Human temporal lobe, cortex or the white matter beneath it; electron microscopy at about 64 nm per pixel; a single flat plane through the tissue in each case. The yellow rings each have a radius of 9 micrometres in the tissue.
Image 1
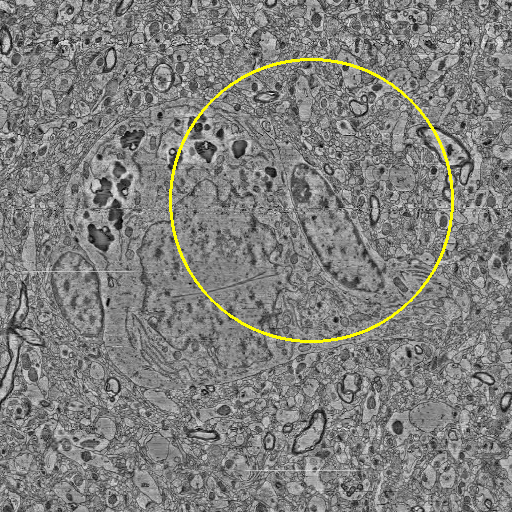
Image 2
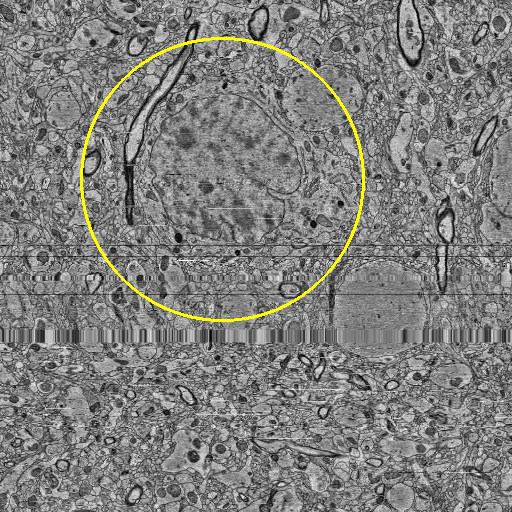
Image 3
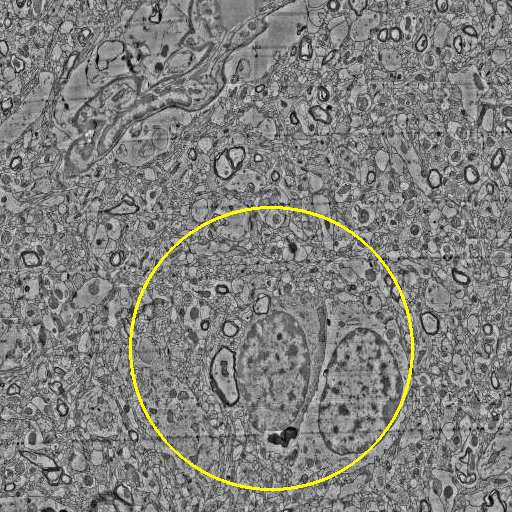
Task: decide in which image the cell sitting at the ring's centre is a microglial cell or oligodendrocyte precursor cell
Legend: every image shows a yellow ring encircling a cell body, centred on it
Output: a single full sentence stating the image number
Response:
In image 1, the cell at the middle of the ring is the match.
